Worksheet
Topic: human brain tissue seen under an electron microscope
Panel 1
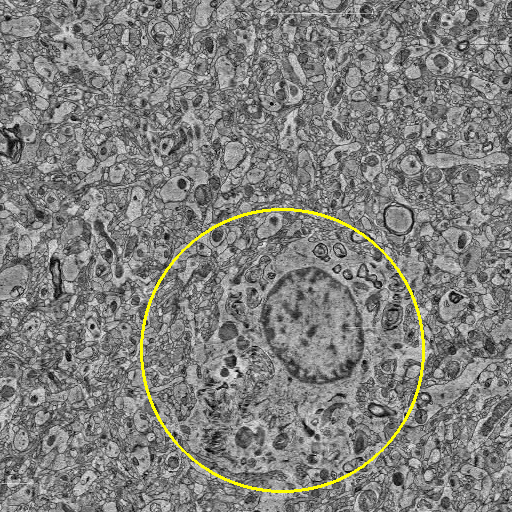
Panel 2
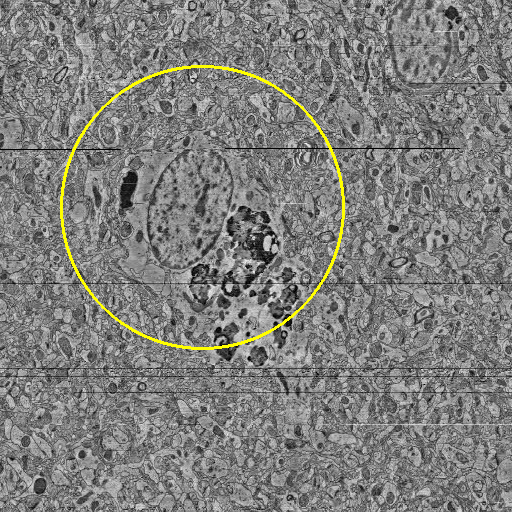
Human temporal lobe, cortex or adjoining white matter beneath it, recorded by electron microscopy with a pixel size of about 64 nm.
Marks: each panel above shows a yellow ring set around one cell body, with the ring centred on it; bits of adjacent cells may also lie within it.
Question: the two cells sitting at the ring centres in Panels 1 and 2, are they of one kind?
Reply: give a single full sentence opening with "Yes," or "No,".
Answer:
Yes, the two ring-centre cells in Panel 1 and Panel 2 are of one kind.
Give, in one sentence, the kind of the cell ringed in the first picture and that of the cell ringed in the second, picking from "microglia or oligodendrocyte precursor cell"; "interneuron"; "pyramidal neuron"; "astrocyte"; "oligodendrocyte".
In both pictures the ring is centred on an astrocyte.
